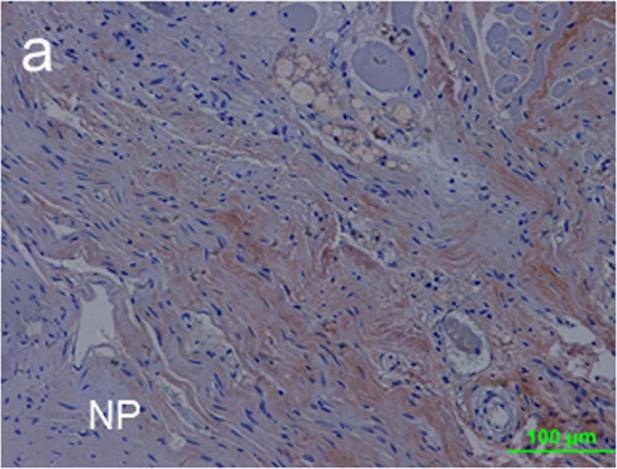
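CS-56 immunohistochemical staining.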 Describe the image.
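This is the outer lamellar layer of a disc, made of long wavy bundles of fibres running roughly in one direction. Between the bundles lie slender, elongated, dark blue nuclei aligned with the fibres. The fibres carry only a faint, patchy light brown tint.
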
